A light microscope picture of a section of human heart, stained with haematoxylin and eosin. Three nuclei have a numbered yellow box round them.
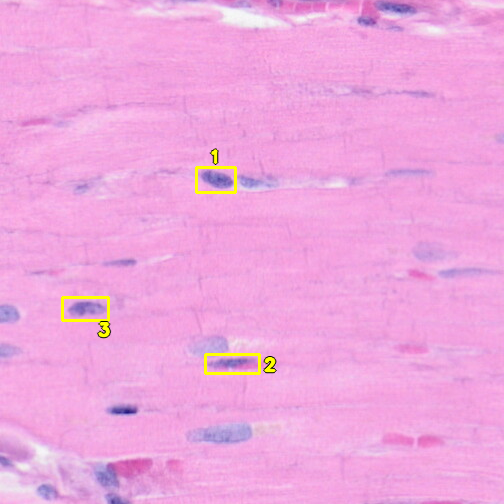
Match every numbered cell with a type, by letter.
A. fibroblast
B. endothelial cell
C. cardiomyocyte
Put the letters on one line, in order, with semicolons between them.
A; B; B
